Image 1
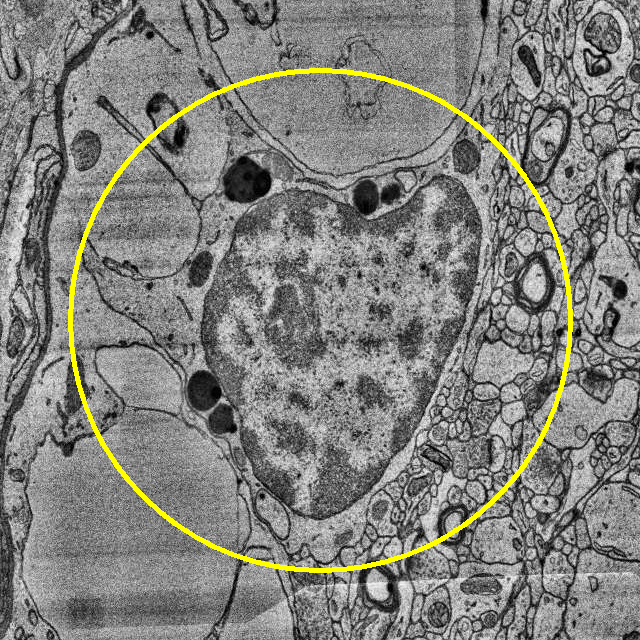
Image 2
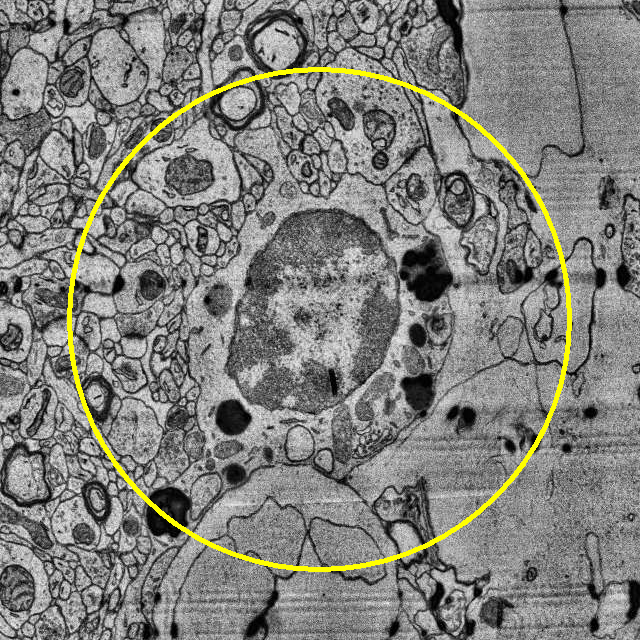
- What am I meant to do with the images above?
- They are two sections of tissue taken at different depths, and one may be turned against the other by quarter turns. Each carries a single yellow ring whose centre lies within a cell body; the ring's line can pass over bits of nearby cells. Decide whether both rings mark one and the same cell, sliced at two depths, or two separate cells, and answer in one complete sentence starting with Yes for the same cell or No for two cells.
Yes, the two rings encircle a single cell, not a pair.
